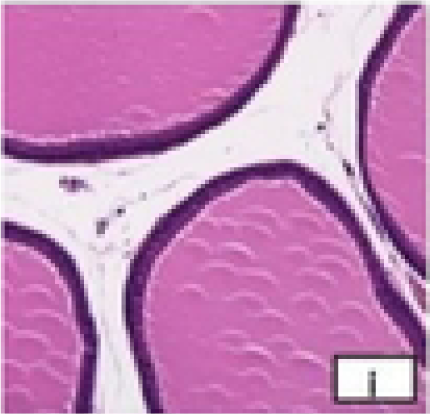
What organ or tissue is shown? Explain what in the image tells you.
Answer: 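Large glandular acini lined by a single thin layer of purple-staining epithelium. Acinar lumens filled with homogeneous pink secretion. Thin loose pale stroma between the acini.
Conclusion: prostate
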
